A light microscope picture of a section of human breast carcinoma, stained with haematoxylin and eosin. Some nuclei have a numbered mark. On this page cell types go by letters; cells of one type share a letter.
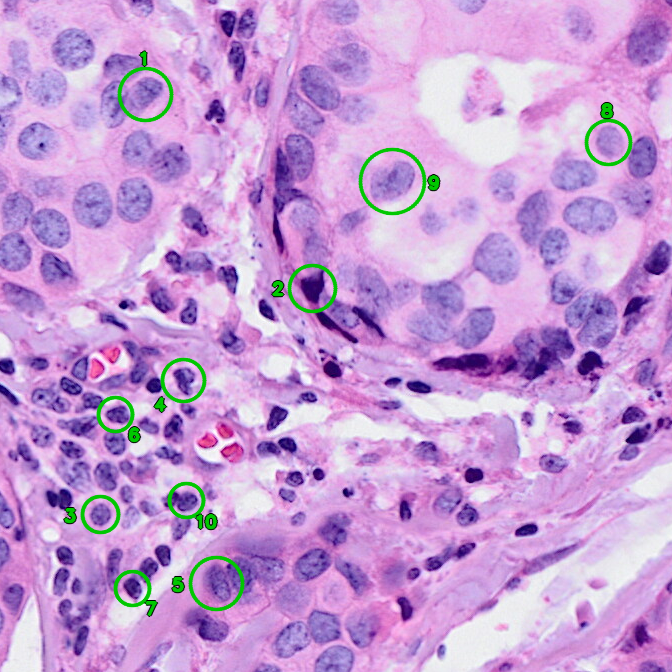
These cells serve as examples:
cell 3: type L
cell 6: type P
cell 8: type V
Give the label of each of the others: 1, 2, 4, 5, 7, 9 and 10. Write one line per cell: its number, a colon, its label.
1: type V
2: type V
4: type P
5: type V
7: type P
9: type V
10: type P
